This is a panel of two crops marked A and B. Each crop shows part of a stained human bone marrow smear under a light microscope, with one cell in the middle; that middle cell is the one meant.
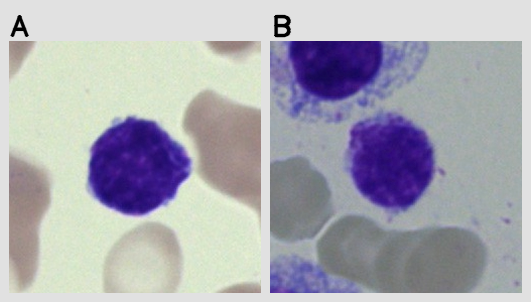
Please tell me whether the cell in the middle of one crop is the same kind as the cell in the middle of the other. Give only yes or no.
yes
